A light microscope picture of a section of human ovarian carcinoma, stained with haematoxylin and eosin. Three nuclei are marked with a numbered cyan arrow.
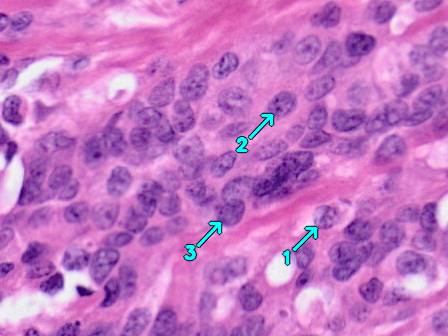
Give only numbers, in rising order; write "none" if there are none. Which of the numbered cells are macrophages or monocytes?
1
